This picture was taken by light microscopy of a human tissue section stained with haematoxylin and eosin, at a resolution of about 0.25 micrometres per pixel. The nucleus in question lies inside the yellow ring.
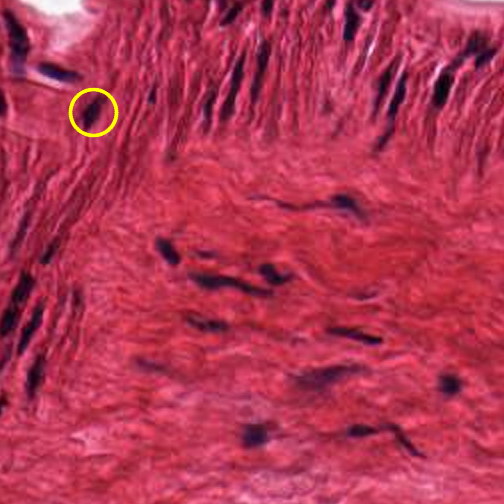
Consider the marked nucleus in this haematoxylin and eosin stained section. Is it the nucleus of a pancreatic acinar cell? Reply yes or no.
no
